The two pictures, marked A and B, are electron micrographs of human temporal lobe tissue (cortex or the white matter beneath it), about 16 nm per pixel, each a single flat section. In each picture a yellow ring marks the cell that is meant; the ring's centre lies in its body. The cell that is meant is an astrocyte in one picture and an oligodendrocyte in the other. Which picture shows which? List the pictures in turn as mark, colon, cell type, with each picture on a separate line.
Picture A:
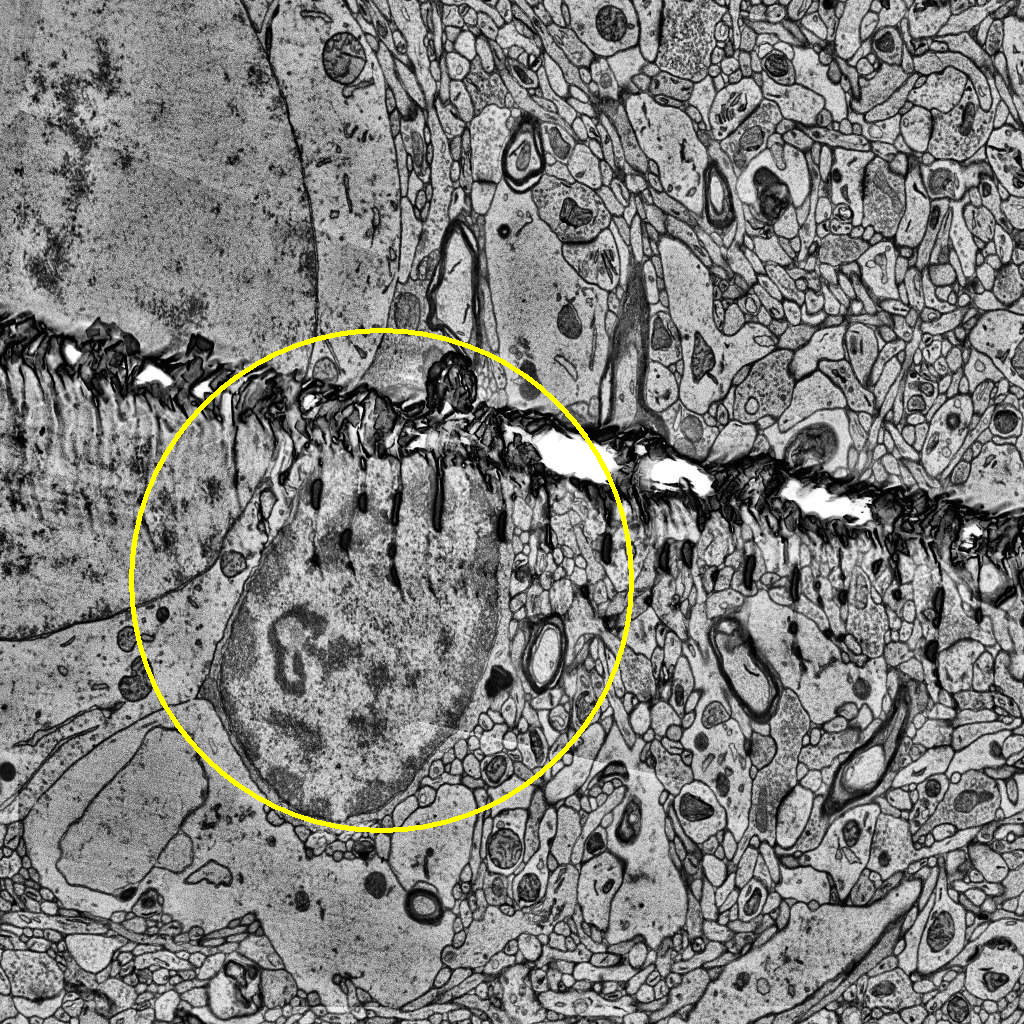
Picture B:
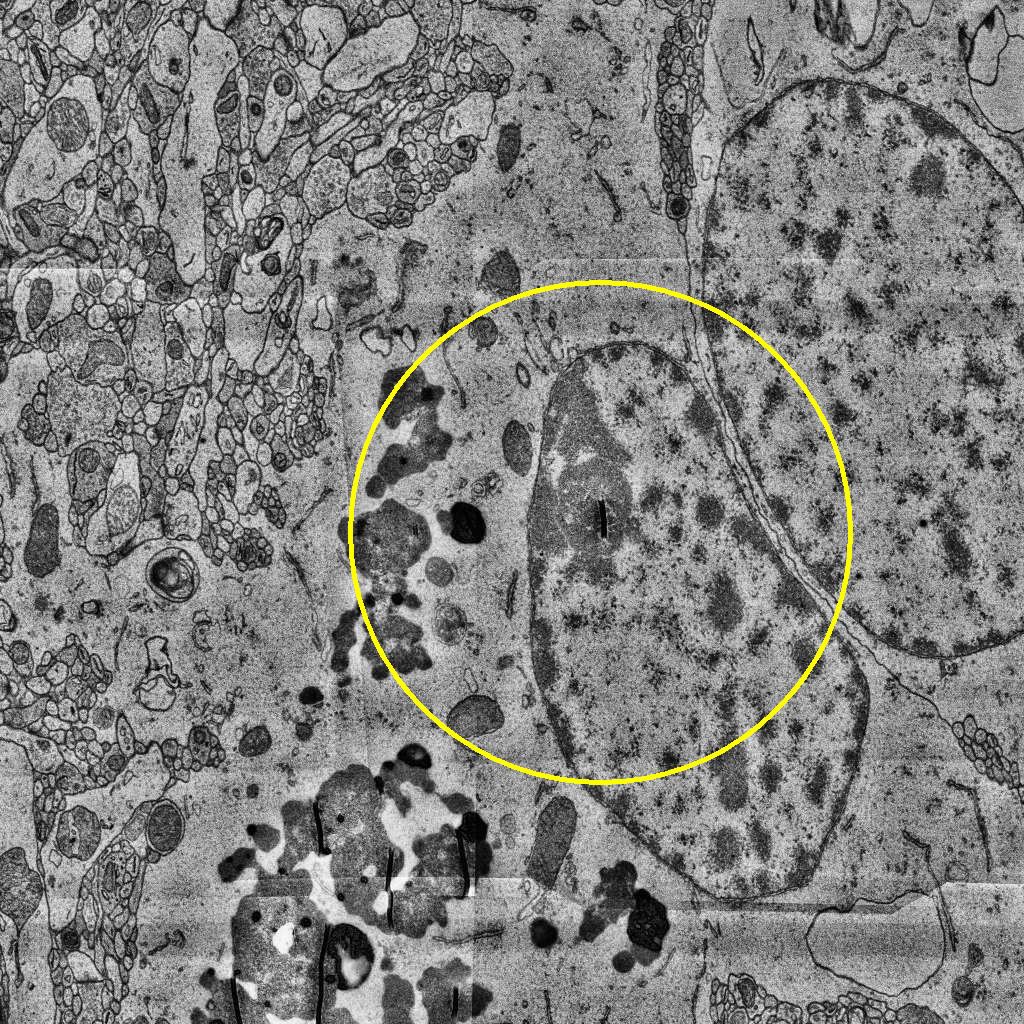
A: oligodendrocyte
B: astrocyte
